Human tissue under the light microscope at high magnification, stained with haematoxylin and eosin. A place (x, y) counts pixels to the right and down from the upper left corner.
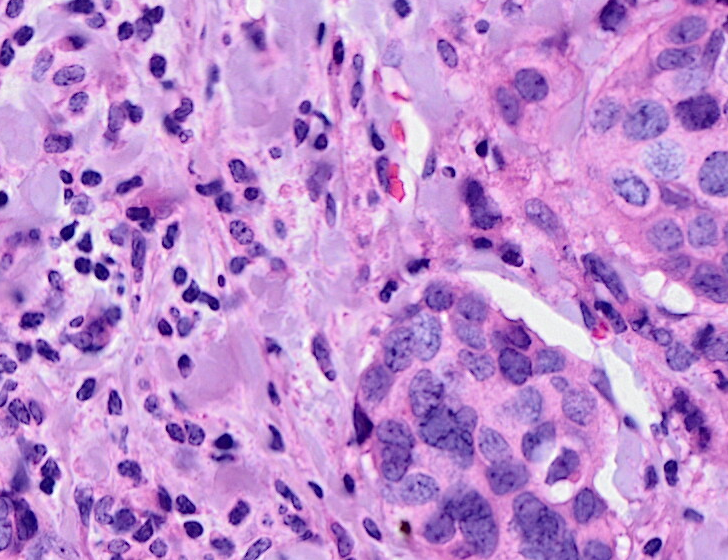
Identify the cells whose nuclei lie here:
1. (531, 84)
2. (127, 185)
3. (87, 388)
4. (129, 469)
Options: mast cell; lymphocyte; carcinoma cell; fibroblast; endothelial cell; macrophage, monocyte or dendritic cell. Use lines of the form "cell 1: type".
cell 1: carcinoma cell
cell 2: lymphocyte
cell 3: lymphocyte
cell 4: lymphocyte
